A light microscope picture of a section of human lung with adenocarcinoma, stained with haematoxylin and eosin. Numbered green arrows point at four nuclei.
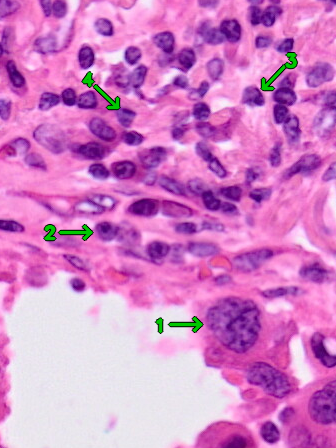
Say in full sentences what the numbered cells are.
Cell 1 is a carcinoma cell. Cells 2, 3 and 4 are lymphocytes.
